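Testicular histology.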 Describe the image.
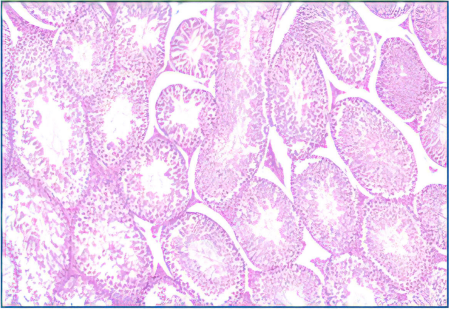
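Many round and oval tubule cross-sections lie tightly packed, separated only by narrow gaps of sparse interstitial tissue. Each tubule is lined by a thick, stratified epithelium of many layers of purple nuclei that reaches far toward the centre.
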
